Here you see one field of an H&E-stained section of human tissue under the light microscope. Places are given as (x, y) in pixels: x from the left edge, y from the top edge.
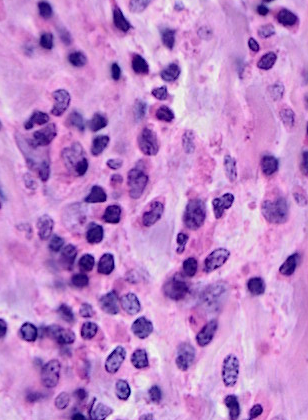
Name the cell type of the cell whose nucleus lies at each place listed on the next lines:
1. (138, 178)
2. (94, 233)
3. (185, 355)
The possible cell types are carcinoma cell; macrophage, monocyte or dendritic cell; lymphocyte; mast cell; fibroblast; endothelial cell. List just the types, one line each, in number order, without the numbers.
macrophage, monocyte or dendritic cell
lymphocyte
mast cell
